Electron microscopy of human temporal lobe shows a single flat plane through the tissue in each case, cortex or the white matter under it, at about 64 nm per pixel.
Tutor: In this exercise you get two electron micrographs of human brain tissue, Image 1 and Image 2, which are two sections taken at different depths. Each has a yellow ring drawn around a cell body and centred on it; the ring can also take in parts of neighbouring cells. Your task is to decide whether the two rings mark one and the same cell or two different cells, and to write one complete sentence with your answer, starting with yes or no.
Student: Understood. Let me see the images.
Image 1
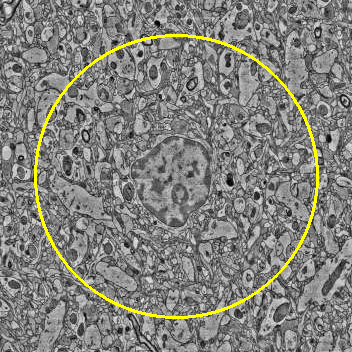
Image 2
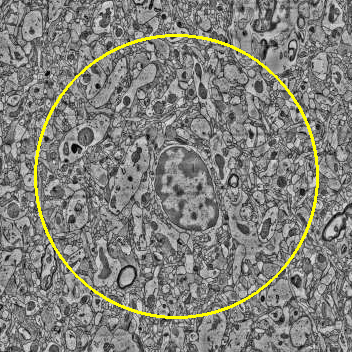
No, one ring and the other ring mark two distinct cells.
